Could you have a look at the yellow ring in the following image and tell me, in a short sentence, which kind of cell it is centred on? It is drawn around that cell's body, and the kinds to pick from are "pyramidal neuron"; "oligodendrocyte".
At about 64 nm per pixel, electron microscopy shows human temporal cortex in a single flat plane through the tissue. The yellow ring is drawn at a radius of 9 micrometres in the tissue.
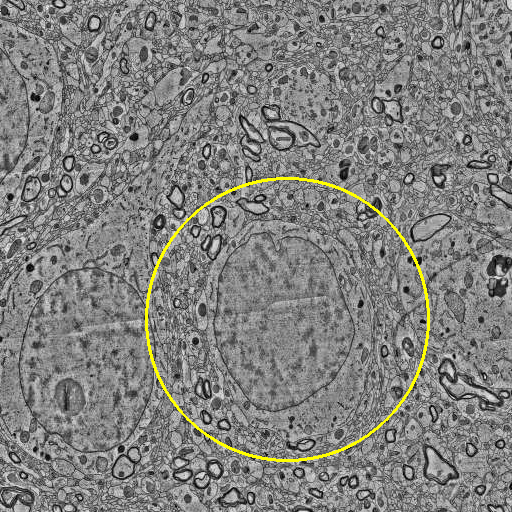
The ring is centred on the body of a pyramidal neuron.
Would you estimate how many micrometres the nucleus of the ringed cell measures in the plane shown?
Approximately 11 by 9 micrometers in this plane.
